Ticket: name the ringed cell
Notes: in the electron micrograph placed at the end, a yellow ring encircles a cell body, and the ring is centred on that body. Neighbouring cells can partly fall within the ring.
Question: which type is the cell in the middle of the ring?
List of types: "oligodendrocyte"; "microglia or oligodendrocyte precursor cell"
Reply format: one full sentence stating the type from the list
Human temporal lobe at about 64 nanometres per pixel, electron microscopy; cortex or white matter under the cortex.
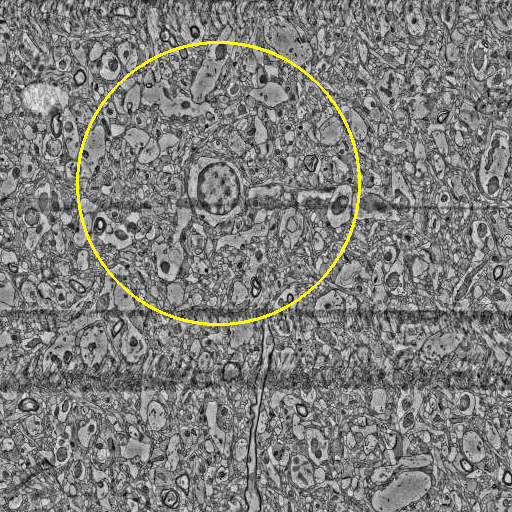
The cell sitting at the centre of the yellow ring is a microglial cell or oligodendrocyte precursor cell.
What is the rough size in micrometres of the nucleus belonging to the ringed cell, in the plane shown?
About 3 micrometers across, in this plane.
